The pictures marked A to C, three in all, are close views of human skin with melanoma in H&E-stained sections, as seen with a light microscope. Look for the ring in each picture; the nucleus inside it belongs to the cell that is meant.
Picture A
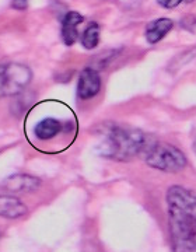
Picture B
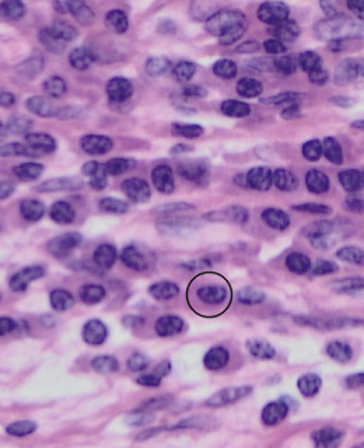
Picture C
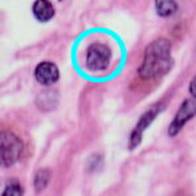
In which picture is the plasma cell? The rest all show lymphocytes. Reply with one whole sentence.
The picture with the plasma cell is B.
